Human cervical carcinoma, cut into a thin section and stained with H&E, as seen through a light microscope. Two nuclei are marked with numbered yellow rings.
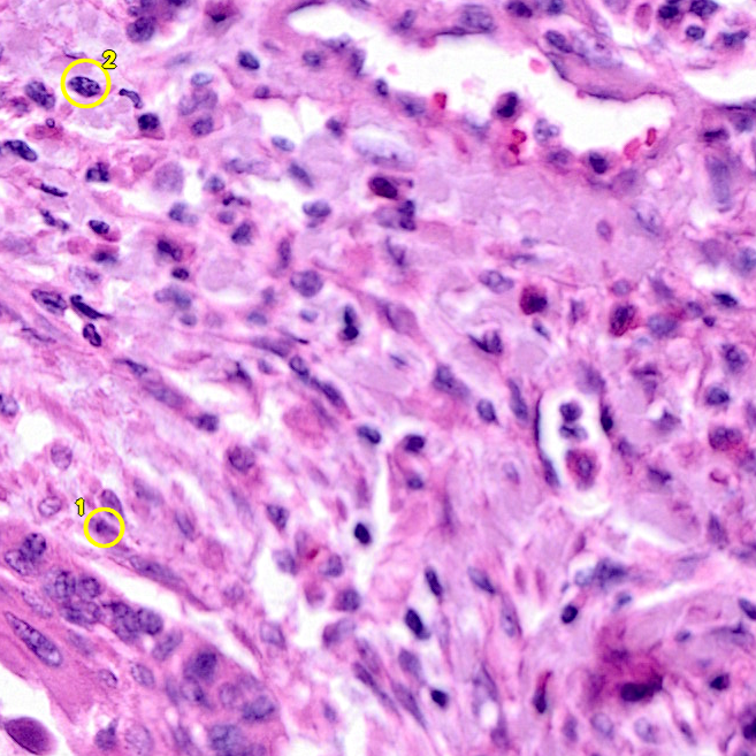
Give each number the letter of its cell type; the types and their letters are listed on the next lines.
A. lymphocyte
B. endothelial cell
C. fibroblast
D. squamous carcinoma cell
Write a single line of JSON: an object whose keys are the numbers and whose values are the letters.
{"1": "C", "2": "A"}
